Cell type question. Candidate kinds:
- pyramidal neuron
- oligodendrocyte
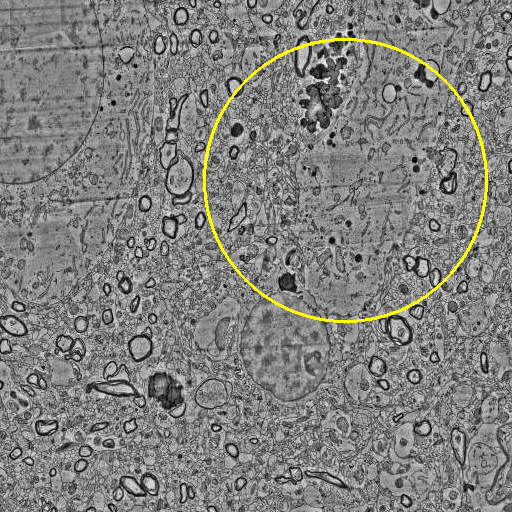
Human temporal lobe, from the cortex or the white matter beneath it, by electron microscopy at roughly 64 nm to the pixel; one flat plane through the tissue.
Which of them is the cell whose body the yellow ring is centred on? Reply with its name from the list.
pyramidal neuron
